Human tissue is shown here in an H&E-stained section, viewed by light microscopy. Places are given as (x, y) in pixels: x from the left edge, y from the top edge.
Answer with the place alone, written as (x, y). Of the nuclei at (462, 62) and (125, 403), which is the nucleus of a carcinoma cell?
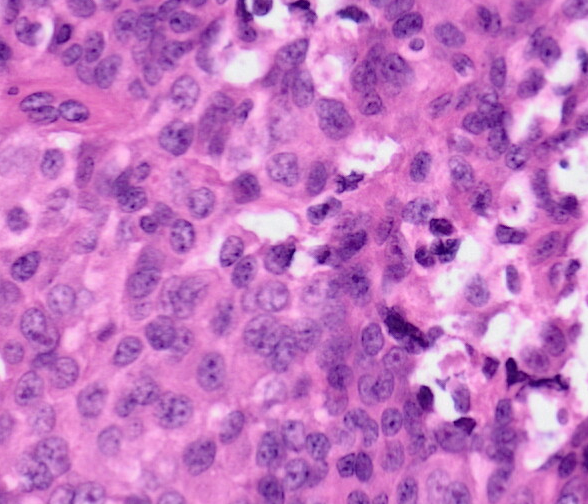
(125, 403)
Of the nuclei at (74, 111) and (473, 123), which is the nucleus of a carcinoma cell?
(473, 123)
